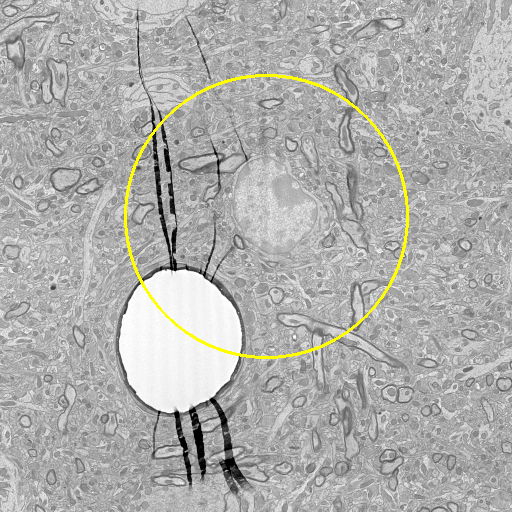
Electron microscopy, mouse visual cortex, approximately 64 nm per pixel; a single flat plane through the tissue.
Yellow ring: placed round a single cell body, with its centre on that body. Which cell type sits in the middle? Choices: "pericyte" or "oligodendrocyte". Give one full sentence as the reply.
It is an oligodendrocyte whose cell body sits at the centre of the yellow ring.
